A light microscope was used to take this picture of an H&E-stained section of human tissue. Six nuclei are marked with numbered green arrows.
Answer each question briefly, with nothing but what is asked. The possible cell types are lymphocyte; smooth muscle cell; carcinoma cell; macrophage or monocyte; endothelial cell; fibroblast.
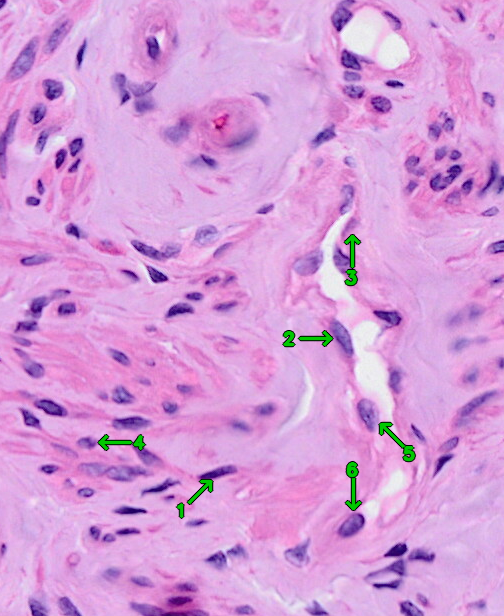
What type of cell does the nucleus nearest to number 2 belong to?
endothelial cell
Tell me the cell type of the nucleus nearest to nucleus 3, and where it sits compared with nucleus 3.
an endothelial cell, above nucleus 3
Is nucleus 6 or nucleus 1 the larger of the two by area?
6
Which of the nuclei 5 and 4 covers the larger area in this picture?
5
